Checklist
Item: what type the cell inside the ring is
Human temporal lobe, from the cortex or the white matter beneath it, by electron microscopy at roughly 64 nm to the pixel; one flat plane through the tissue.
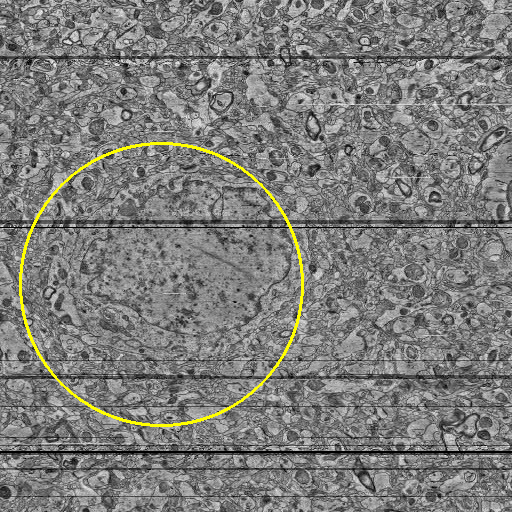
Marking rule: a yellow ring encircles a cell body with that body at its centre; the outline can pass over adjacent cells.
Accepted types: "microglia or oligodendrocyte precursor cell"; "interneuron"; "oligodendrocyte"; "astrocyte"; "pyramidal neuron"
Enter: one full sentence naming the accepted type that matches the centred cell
The entry is that an interneuron lies at the centre of the yellow ring.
